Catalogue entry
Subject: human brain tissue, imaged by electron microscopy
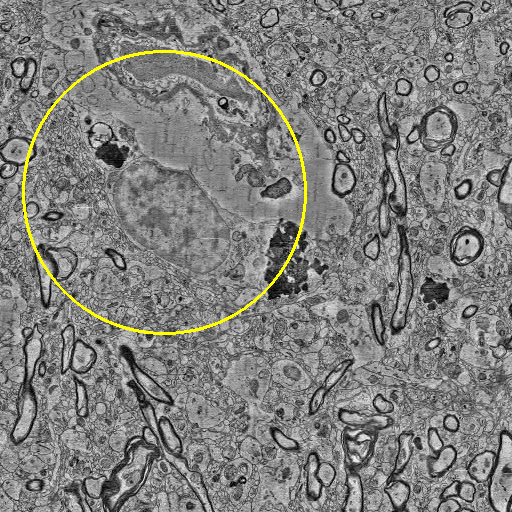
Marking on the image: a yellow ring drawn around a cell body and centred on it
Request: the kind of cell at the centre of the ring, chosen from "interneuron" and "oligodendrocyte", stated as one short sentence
The ring has an oligodendrocyte at its centre.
